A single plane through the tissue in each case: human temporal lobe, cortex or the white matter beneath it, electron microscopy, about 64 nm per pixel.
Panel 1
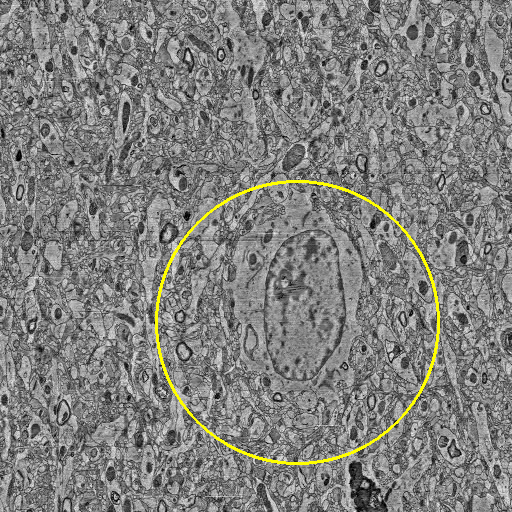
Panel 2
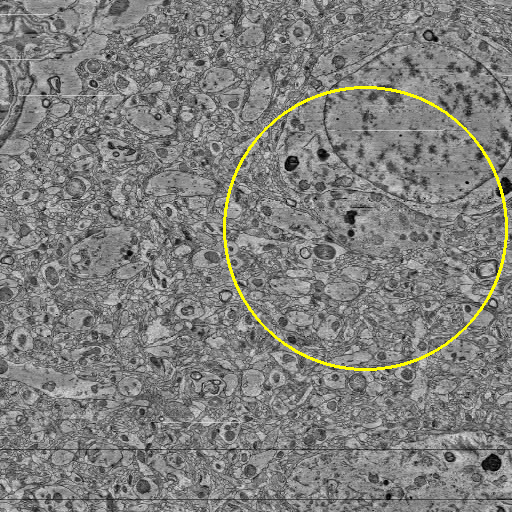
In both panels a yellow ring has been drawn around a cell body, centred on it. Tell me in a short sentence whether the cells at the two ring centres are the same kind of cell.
No, they are two kinds of cell.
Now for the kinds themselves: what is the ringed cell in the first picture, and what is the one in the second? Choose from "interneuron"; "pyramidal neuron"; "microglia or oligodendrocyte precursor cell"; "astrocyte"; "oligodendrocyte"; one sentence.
Here the first cell is an astrocyte and the second cell is an oligodendrocyte.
